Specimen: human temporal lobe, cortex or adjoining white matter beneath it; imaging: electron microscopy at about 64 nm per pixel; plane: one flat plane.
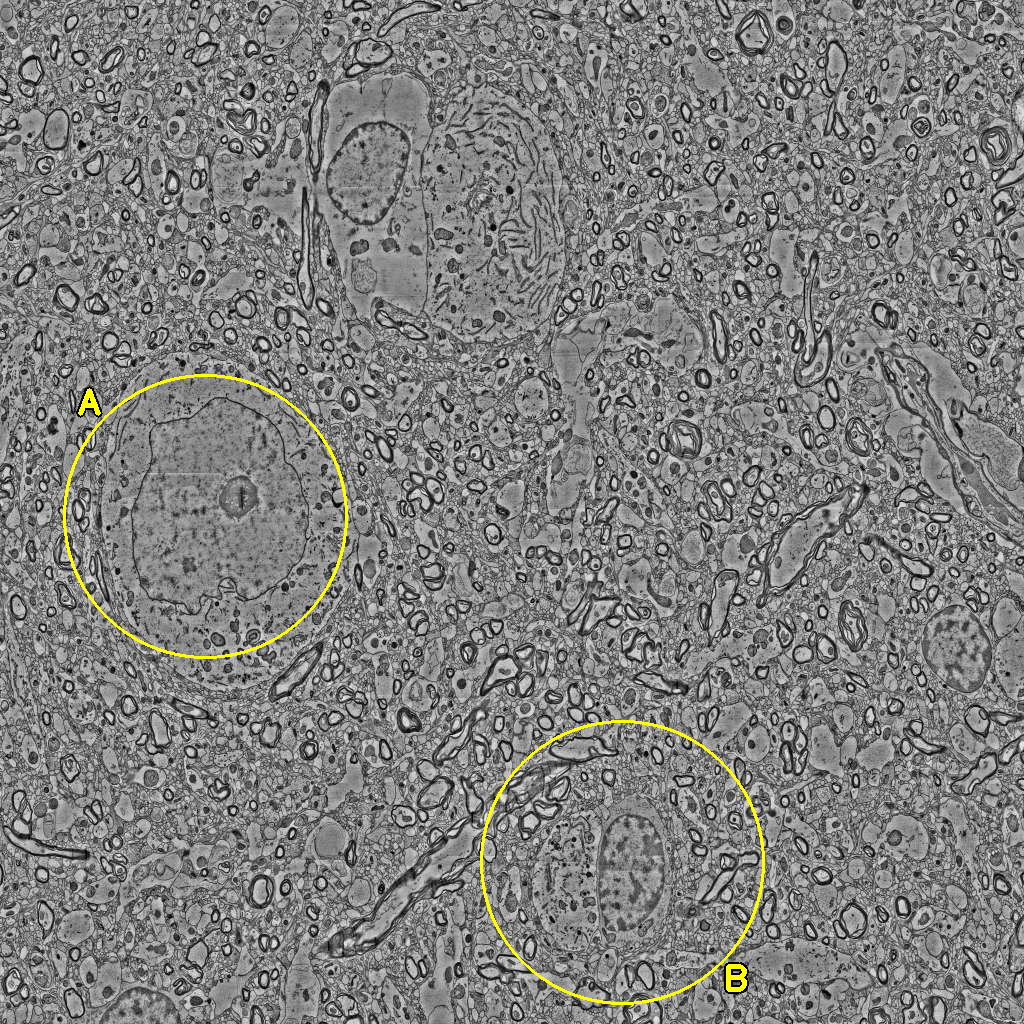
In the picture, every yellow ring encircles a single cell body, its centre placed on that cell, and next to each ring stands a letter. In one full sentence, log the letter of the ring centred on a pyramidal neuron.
The ring with the requested cell at its centre bears the letter A.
